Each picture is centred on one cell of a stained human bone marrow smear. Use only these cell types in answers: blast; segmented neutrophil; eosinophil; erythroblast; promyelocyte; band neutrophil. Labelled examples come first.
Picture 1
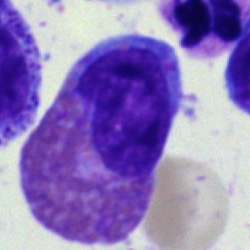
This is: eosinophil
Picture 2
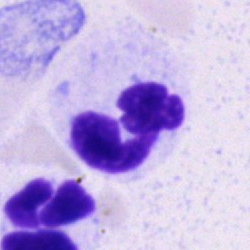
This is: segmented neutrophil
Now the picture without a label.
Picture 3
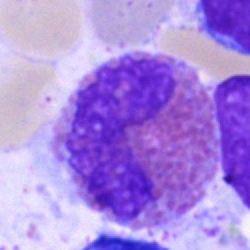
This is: eosinophil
